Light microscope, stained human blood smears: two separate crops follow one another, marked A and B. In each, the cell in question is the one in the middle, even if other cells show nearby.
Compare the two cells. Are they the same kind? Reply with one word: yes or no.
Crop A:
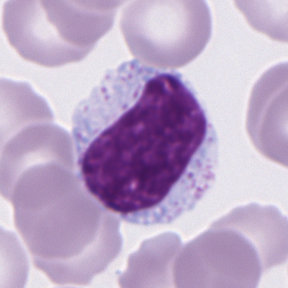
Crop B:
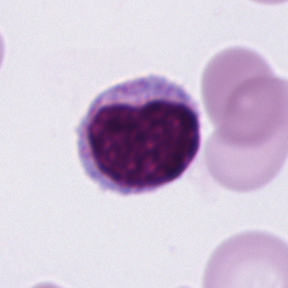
yes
